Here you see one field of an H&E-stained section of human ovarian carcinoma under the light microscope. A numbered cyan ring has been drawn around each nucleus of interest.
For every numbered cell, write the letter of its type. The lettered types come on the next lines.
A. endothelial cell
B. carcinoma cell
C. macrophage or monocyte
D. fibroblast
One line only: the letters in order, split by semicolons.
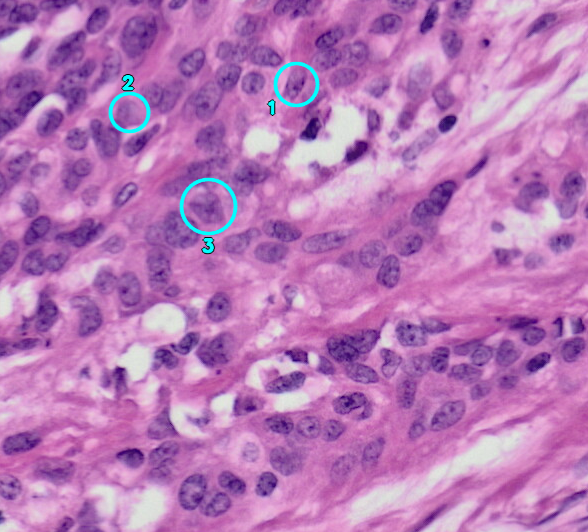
C; B; B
